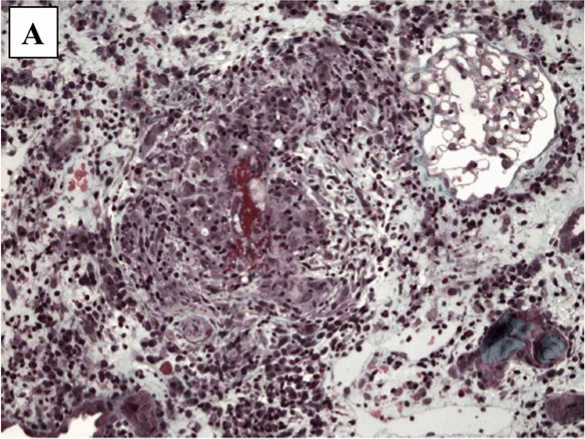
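A small arteriole in kidney tissue shows fibrinoid necrosis: its wall is replaced by bright red amorphous material at its centre. It is surrounded by a thick cuff of densely packed inflammatory cells with dark nuclei that spill into the surrounding interstitium. A glomerulus with open capillary loops sits at the upper right.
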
